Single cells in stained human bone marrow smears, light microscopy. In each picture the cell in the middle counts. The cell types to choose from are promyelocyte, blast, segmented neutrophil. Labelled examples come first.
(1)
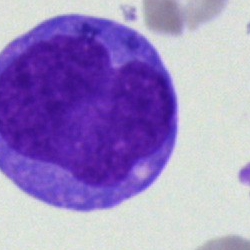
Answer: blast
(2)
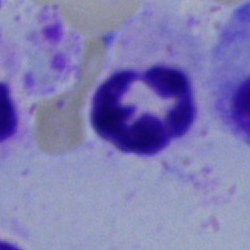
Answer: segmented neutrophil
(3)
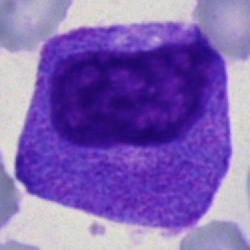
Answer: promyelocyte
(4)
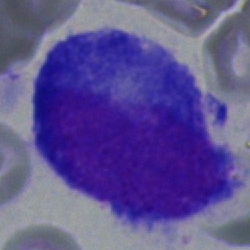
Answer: promyelocyte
